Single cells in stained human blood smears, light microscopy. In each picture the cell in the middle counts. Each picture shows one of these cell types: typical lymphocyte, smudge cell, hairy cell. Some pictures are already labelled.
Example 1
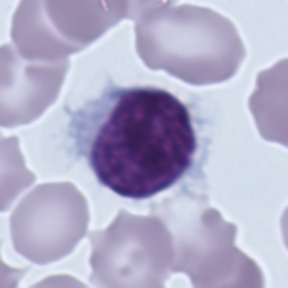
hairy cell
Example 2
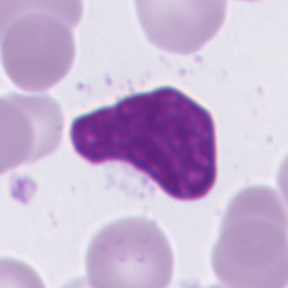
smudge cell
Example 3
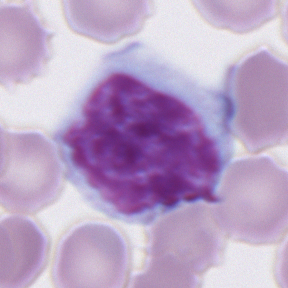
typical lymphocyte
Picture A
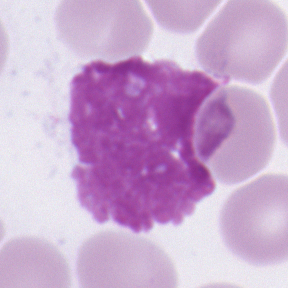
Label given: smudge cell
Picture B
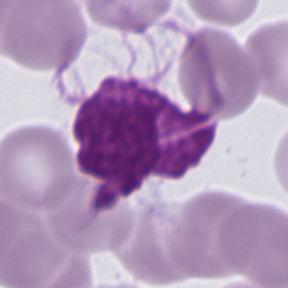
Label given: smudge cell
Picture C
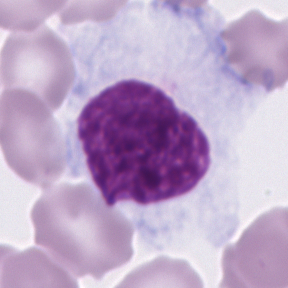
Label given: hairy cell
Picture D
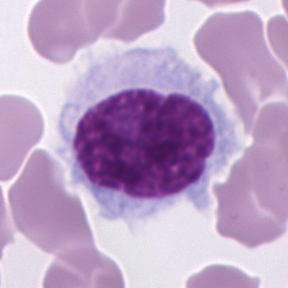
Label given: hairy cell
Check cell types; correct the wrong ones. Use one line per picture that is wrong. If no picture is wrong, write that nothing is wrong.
Nothing to fix; every label fits.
